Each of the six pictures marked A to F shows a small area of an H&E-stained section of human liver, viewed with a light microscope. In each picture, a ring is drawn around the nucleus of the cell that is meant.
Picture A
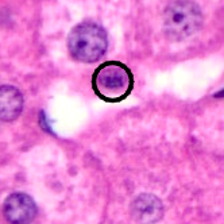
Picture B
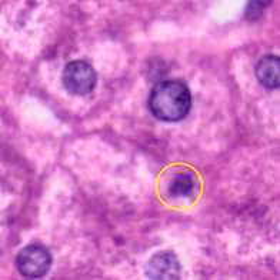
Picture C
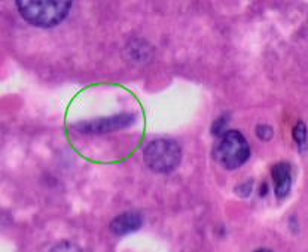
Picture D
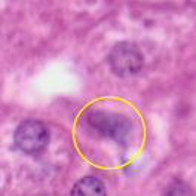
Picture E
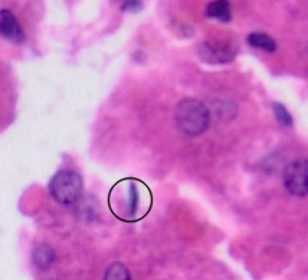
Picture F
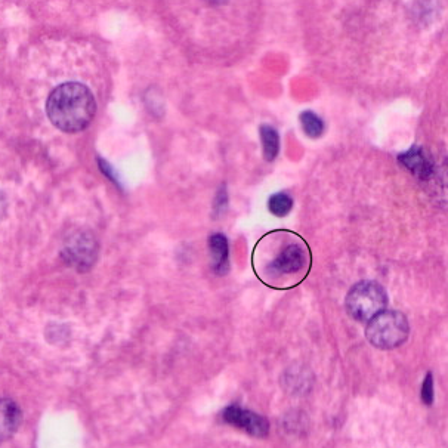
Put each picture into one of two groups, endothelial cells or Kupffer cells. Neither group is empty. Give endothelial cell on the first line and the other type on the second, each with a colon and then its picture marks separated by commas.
endothelial cell: B, E
Kupffer cell: A, C, D, F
